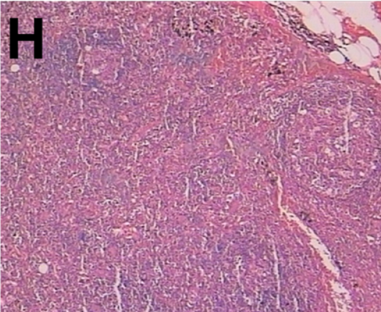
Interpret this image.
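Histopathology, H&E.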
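Scattered paler pink areas lie among the cells. A small group of empty-looking fat cells sits at the upper right edge.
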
